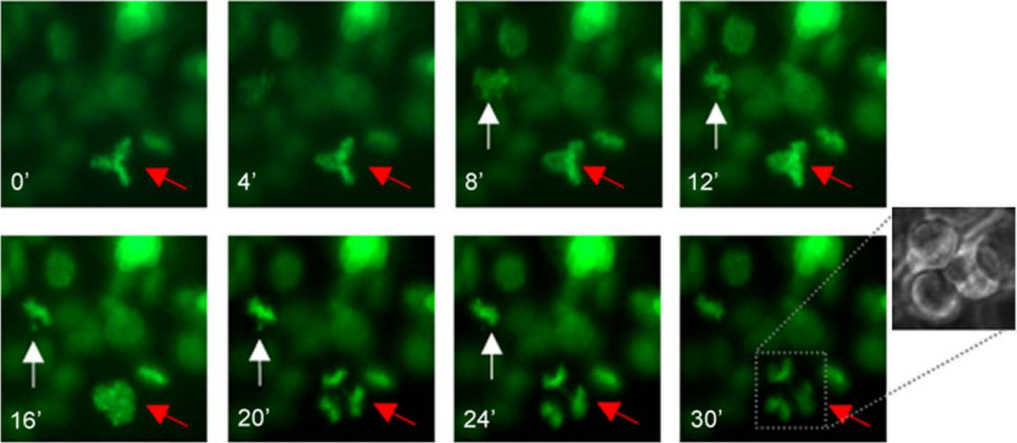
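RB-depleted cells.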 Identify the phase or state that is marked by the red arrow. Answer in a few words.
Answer: Tripolar metaphases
